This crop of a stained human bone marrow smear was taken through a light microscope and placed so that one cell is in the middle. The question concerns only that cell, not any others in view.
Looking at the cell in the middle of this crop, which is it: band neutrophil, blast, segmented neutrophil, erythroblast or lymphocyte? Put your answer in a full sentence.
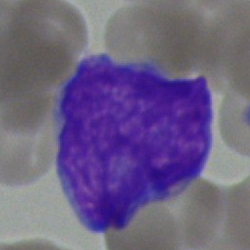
Answering briefly, the cell in the middle is a blast.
